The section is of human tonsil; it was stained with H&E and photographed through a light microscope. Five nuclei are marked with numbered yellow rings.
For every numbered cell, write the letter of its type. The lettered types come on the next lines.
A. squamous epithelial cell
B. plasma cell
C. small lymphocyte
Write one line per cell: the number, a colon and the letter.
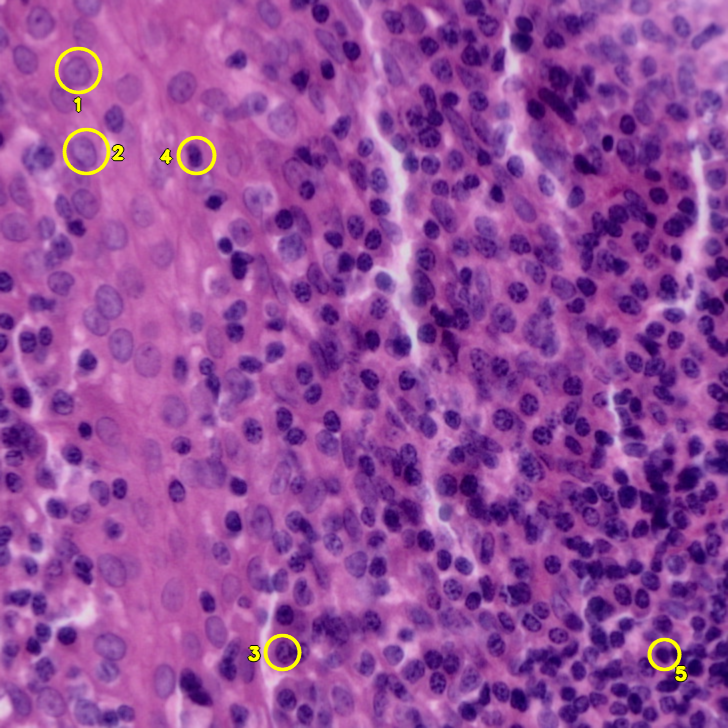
1: A
2: A
3: B
4: A
5: C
